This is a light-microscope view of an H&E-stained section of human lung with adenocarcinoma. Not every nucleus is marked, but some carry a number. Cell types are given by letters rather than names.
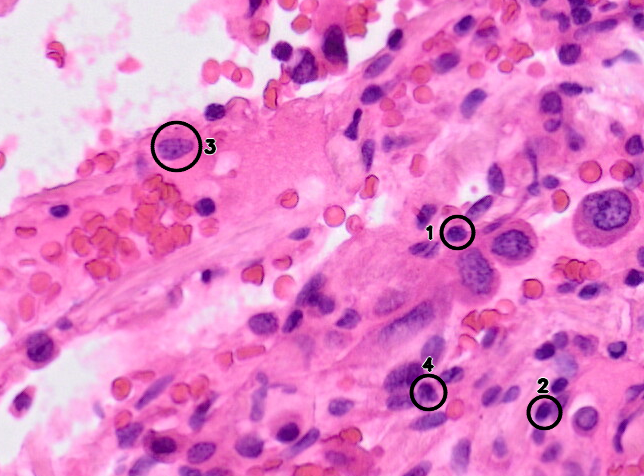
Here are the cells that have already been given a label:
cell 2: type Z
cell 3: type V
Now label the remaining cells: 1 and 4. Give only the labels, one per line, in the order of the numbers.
type Z
type Z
